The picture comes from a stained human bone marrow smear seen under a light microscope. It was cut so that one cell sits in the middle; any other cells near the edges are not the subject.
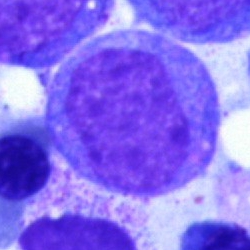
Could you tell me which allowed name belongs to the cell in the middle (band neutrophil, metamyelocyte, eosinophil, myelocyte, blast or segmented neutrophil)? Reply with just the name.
blast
